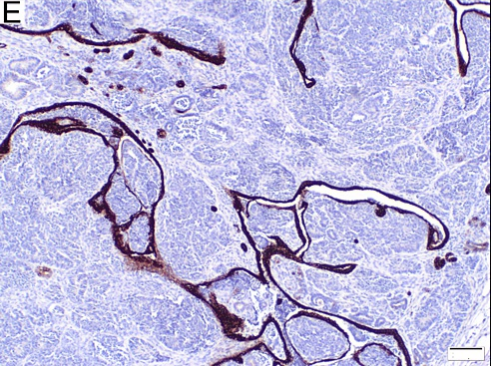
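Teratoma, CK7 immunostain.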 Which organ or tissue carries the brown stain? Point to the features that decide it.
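Brown stain in thin linings around cleft-like and rounded spaces. The surrounding bulk of the tumor is blue and unstained. The answer: mature epithelial components.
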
